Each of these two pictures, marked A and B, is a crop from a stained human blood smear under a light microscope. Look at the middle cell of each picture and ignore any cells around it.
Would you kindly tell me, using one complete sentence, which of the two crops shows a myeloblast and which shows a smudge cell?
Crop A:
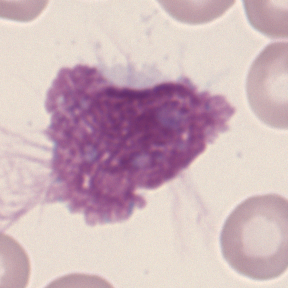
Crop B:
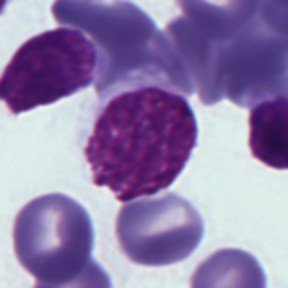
In crop A the cell is a smudge cell, while in crop B it is a myeloblast.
